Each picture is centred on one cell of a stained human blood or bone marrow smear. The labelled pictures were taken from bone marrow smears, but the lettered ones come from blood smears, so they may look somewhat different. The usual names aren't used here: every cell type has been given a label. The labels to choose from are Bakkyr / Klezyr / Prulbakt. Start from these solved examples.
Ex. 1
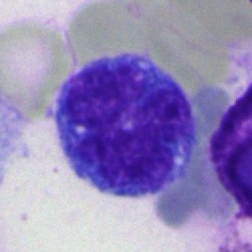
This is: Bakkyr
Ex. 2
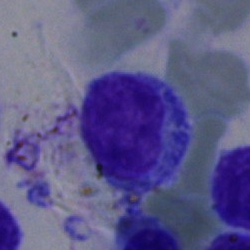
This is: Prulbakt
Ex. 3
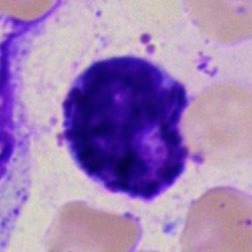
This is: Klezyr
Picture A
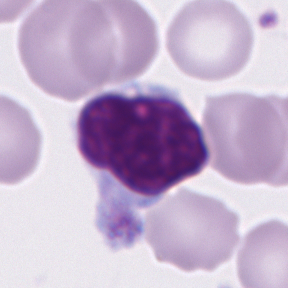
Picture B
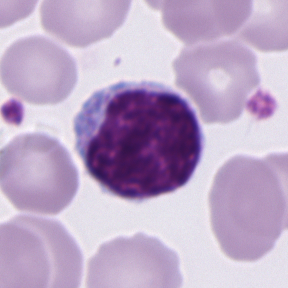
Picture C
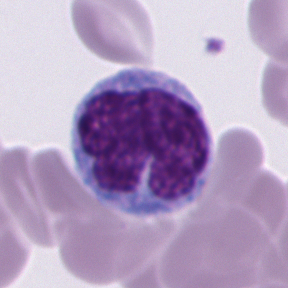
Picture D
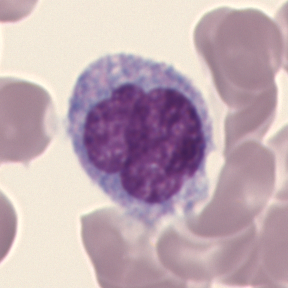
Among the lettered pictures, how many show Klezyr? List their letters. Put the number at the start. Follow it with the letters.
0, none of them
